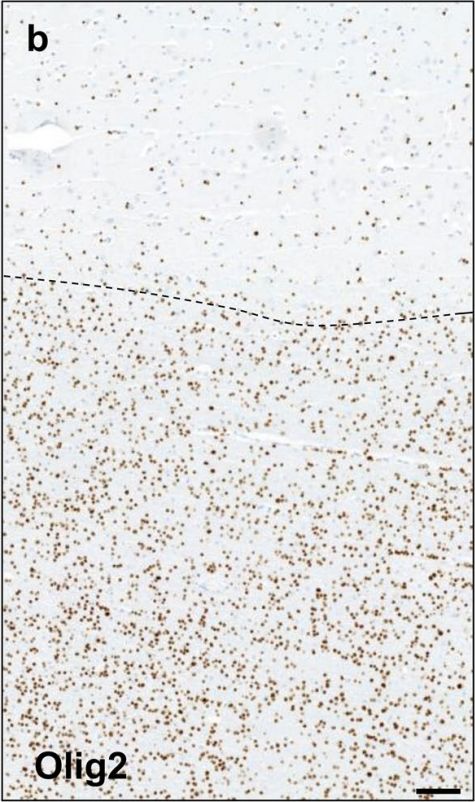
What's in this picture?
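This is brain tissue at the junction of cortex and white matter, with small round brown-stained nuclei of glial cells against a pale blue background. Above the dashed line, in the cortex, the brown nuclei are sparse and scattered among faint blue-grey nuclei. The nuclei are uniformly small and round, with no obvious cytoplasm or processes visible at this magnification. A few thin pale vessels cross the tissue.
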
